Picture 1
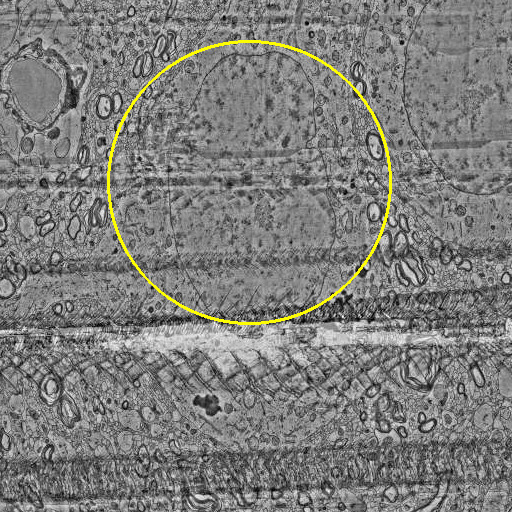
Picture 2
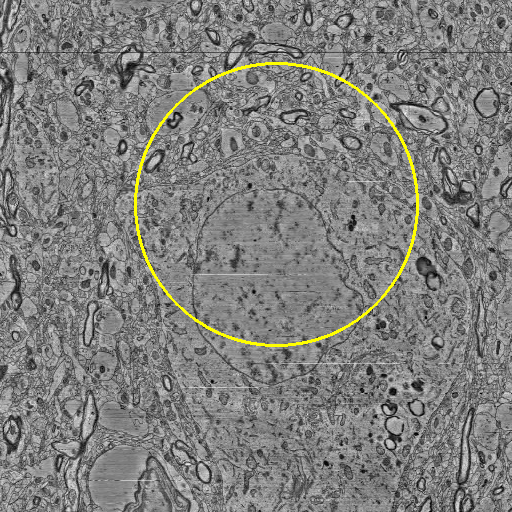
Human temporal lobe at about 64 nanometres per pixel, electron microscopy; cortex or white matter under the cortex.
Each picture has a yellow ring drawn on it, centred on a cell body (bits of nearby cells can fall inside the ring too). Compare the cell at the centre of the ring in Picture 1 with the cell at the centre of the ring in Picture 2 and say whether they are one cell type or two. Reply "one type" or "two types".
one type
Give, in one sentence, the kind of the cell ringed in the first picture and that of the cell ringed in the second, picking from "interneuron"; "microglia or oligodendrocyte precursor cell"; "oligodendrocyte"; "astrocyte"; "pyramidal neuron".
Each of the two pictures has a pyramidal neuron at the ring centre.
